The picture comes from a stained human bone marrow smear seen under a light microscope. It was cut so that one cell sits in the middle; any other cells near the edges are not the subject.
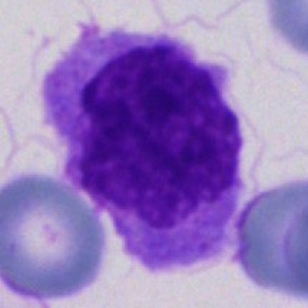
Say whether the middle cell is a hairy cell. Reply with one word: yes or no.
no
